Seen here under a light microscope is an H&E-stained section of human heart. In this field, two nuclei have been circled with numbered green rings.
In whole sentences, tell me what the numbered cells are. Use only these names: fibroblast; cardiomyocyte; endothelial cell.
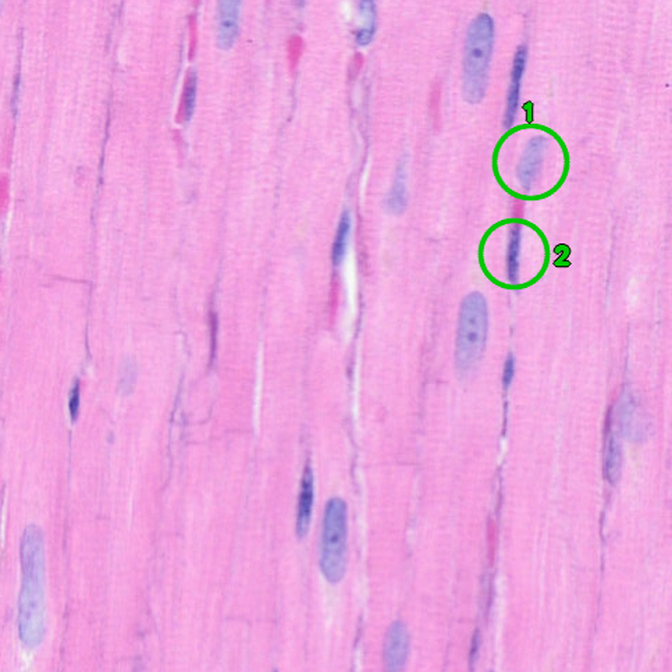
Cell 1 is a cardiomyocyte and cell 2 is an endothelial cell.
